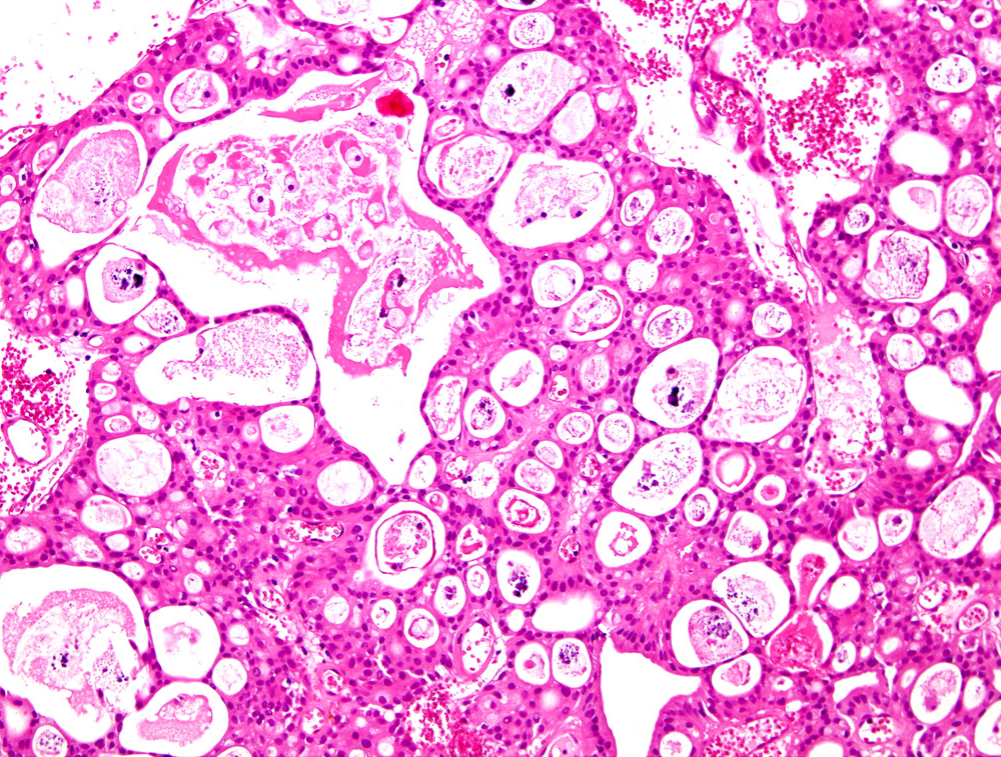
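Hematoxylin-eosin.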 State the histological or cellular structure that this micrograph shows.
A: gland spaces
